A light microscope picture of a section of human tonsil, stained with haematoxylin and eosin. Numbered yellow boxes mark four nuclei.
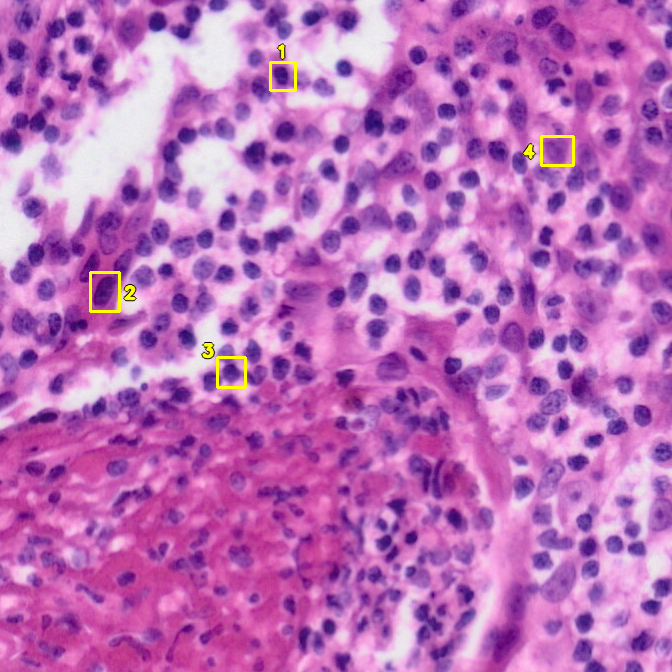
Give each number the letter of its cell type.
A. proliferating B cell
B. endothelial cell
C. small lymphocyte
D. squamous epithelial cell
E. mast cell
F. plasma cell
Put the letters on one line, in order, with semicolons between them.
F; D; C; D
